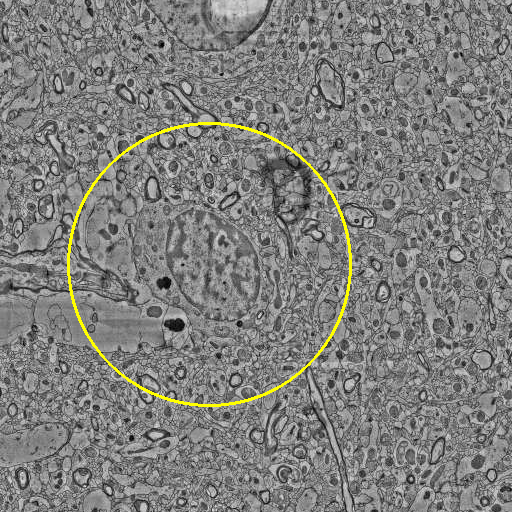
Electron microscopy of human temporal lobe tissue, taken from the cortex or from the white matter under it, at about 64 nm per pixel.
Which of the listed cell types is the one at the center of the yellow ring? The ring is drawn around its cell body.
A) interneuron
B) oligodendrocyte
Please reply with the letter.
B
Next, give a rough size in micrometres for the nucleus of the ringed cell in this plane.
The ringed cell's nucleus measures approximately 8 by 6 micrometres in this plane.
